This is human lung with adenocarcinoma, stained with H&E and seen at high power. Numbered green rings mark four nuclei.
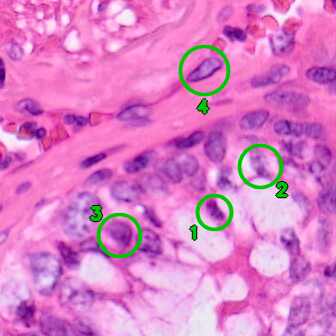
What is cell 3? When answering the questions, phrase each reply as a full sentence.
The numbered cell 3 is identified here as a ciliated epithelial cell.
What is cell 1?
The cell that carries the label 1 is a ciliated epithelial cell.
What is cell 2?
To a ciliated epithelial cell belongs the nucleus marked 2.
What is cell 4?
The nucleus marked 4 is the nucleus of an endothelial cell.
